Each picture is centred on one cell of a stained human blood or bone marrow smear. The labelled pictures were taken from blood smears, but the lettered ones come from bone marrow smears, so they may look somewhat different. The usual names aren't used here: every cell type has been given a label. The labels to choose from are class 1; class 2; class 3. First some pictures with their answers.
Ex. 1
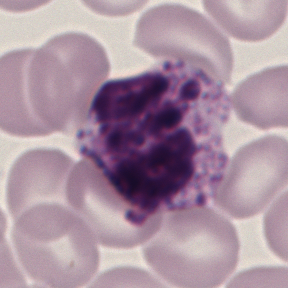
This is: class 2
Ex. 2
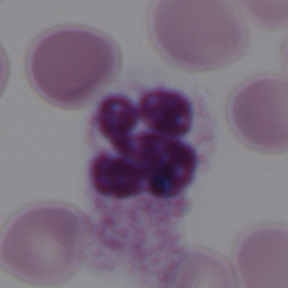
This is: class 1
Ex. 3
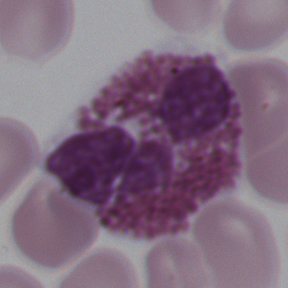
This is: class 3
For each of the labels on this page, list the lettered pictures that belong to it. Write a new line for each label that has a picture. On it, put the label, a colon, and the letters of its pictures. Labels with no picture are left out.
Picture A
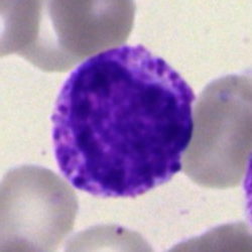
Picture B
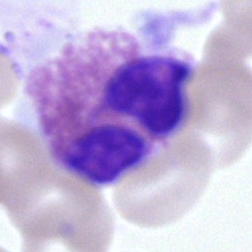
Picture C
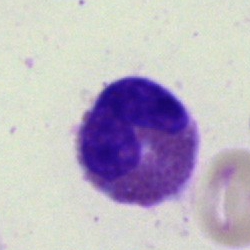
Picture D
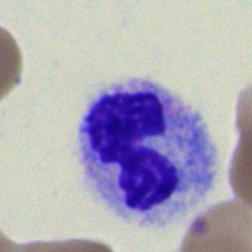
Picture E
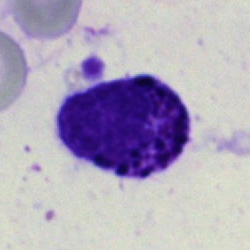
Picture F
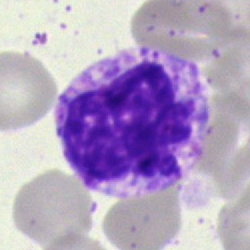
class 1: D
class 2: A, E, F
class 3: B, C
